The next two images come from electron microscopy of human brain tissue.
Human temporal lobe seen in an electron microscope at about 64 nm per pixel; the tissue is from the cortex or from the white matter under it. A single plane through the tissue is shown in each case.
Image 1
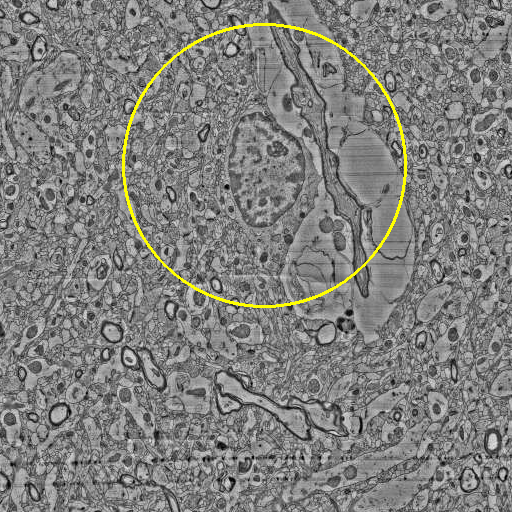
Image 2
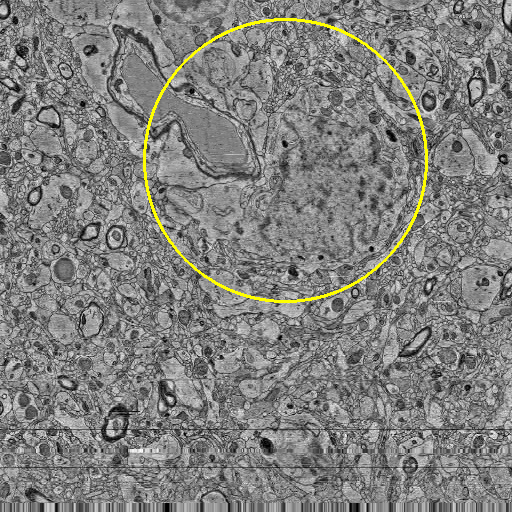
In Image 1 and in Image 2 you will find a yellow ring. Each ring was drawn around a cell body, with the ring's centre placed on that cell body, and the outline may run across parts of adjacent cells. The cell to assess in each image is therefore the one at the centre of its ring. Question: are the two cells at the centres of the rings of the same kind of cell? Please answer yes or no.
no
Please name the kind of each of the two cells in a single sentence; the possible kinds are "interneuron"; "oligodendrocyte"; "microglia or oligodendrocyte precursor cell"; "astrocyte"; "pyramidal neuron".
In the first picture the ring is centred on an oligodendrocyte, and in the second on an interneuron.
